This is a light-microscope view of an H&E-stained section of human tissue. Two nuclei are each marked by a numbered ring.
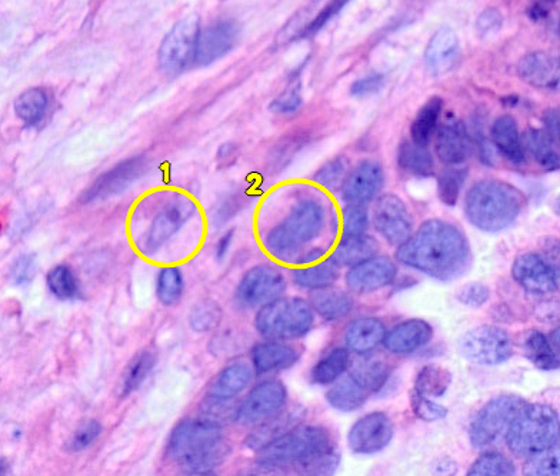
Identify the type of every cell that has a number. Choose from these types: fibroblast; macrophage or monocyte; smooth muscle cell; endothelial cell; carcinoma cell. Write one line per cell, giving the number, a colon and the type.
1: fibroblast
2: carcinoma cell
